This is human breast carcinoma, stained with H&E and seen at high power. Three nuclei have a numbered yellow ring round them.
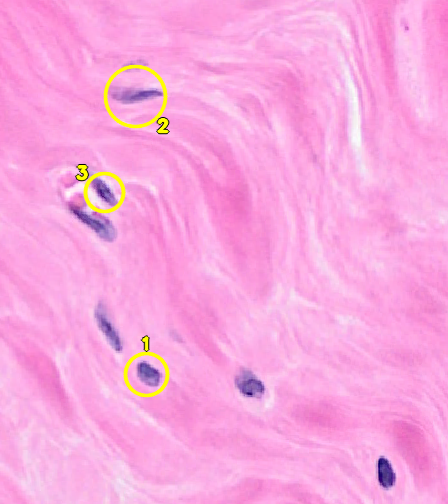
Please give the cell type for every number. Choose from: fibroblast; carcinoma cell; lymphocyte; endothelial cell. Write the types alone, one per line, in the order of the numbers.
lymphocyte
fibroblast
endothelial cell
